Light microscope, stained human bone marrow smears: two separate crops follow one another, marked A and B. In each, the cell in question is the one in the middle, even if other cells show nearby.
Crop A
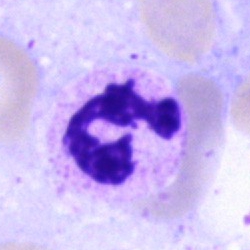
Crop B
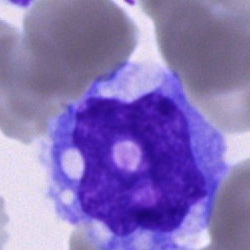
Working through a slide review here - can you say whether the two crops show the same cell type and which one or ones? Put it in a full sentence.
No, a neutrophil is the cell in crop A; a monocyte is the cell in crop B.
